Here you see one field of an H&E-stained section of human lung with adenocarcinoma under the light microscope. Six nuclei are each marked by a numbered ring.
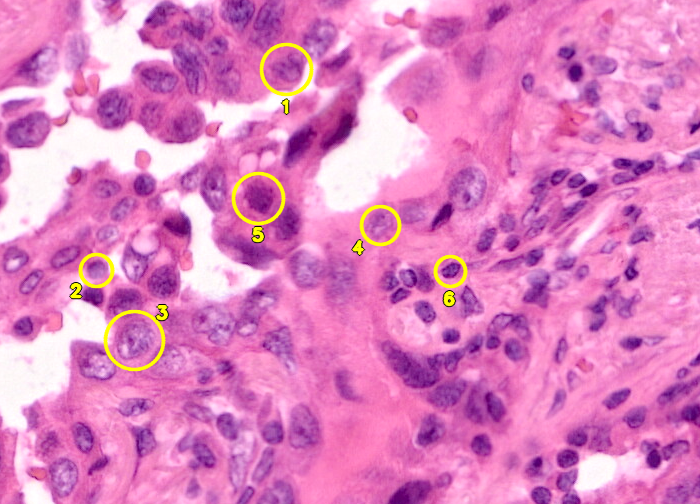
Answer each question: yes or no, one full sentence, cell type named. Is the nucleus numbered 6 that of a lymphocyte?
Yes, the cell carrying label 6 is a lymphocyte.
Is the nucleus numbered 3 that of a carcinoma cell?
Yes, the cell that has number 3 is a carcinoma cell.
